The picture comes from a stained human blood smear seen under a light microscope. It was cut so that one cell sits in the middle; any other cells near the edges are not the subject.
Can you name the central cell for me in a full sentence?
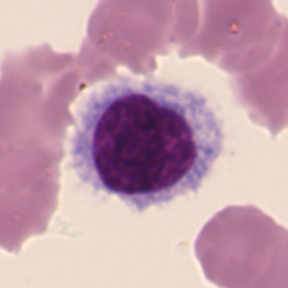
At the center of the crop sits a hairy cell.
